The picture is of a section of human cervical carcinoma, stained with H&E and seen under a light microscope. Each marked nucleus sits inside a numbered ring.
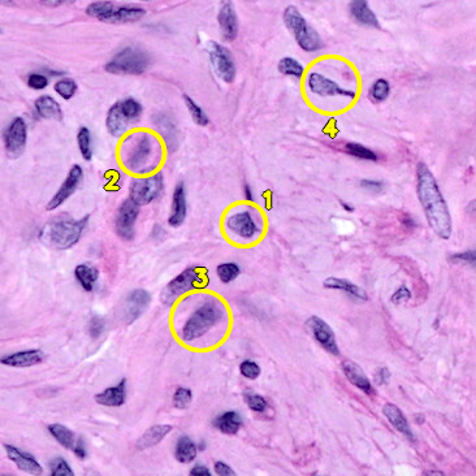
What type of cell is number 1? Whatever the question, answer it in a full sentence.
Here the cell numbered 1 is a fibroblast.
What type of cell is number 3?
Cell 3 in the field of view is a fibroblast.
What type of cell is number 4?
The cell marked with the number 4 is a fibroblast.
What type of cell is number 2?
The identity of cell 2 is that of an endothelial cell.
